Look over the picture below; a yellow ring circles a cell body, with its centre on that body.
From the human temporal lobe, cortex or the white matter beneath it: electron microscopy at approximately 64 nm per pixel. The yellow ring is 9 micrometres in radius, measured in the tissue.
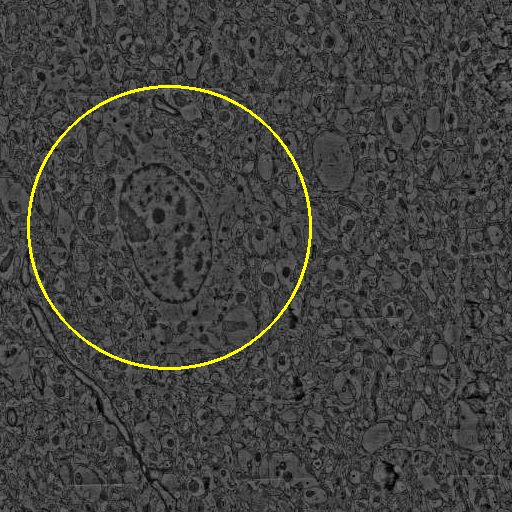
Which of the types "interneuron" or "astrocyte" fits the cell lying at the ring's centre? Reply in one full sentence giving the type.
The picture shows an astrocyte at the centre of the yellow ring.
